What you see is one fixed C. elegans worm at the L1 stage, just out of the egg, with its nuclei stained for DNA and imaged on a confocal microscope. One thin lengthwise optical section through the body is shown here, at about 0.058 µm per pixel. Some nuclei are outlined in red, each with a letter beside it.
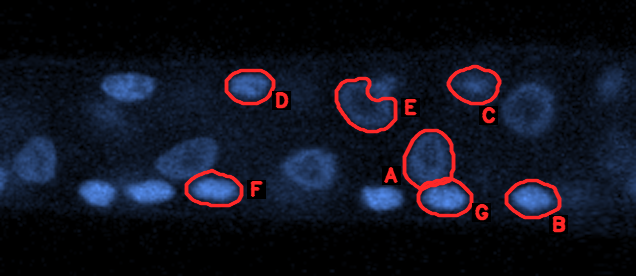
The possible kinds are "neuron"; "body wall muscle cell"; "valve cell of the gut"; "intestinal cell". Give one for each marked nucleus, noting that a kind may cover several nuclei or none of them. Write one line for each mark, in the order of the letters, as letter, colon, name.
A: intestinal cell
B: neuron
C: body wall muscle cell
D: body wall muscle cell
E: intestinal cell
F: neuron
G: neuron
